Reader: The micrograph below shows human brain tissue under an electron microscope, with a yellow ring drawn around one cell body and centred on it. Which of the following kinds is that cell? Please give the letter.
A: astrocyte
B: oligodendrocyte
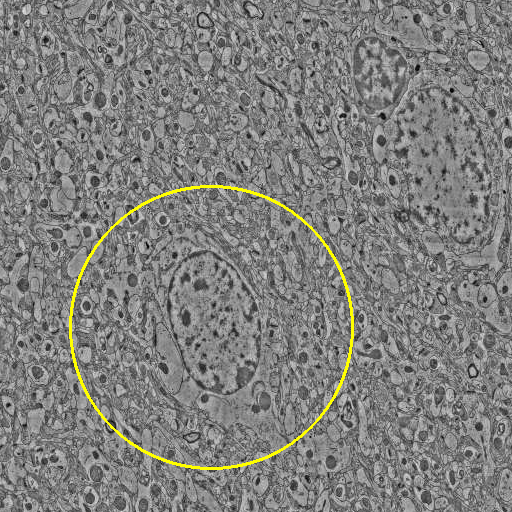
A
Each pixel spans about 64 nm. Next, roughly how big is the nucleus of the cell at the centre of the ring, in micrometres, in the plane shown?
In this plane the nucleus measures about 9 by 6 micrometres and is clearly longer than it is wide.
